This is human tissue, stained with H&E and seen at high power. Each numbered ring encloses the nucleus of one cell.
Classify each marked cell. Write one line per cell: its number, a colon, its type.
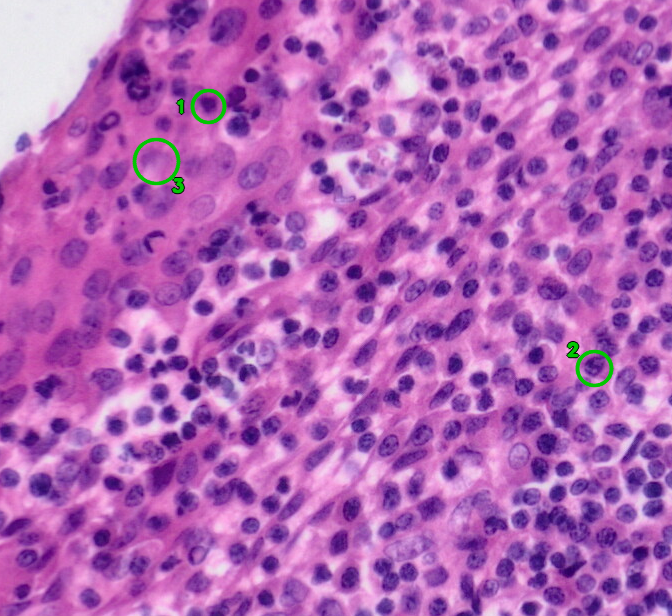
1: squamous epithelial cell
2: plasma cell
3: squamous epithelial cell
